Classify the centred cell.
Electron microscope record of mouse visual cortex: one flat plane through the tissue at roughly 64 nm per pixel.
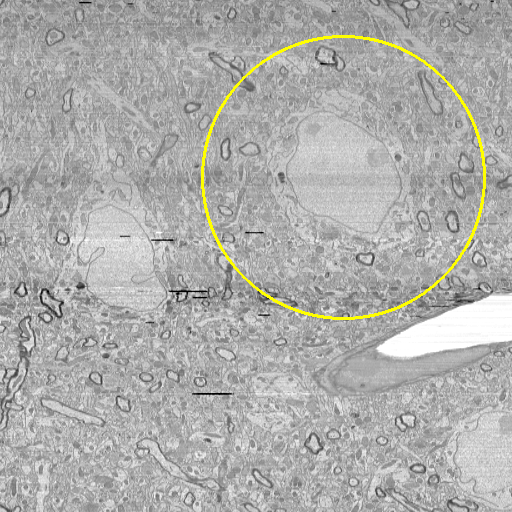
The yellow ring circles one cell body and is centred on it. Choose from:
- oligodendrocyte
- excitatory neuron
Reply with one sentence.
The ring is centred on an excitatory neuron.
